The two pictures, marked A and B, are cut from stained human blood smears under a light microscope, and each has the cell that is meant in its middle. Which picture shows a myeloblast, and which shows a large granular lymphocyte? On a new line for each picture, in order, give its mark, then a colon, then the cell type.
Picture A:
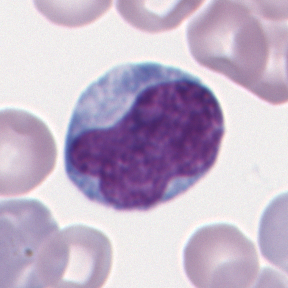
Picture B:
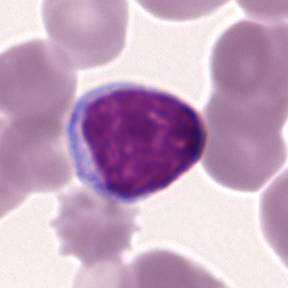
A: myeloblast
B: large granular lymphocyte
